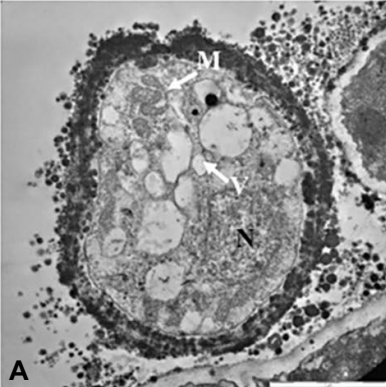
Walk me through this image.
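Single oval fungal cell in section, bounded by a thick, layered cell wall whose outer zone is dark and granular, with many small electron-dense granules clustered around the outside. The cytoplasm is crowded with clear, round vacuoles of varying size, some containing a small dense dot. Mitochondria appear as grey profiles with internal membranes near the upper part of the cell. A nucleus occupies the lower right region as a finely granular area.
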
